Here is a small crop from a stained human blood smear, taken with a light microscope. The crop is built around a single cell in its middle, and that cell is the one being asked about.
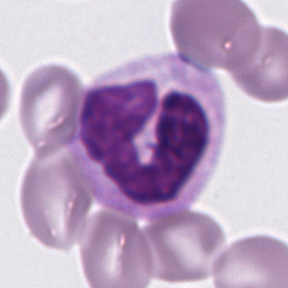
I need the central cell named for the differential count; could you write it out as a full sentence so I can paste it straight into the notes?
The central cell, amid any neighbouring cells, is a band neutrophil.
